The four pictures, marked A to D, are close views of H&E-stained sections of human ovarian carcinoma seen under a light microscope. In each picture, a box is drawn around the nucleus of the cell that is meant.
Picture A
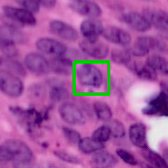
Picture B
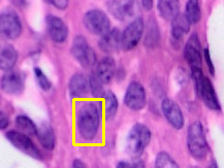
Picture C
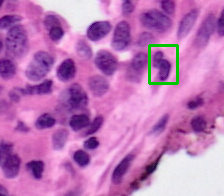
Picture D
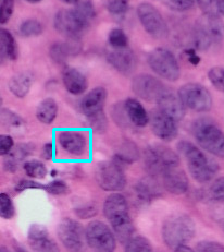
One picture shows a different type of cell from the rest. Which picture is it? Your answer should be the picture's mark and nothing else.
B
